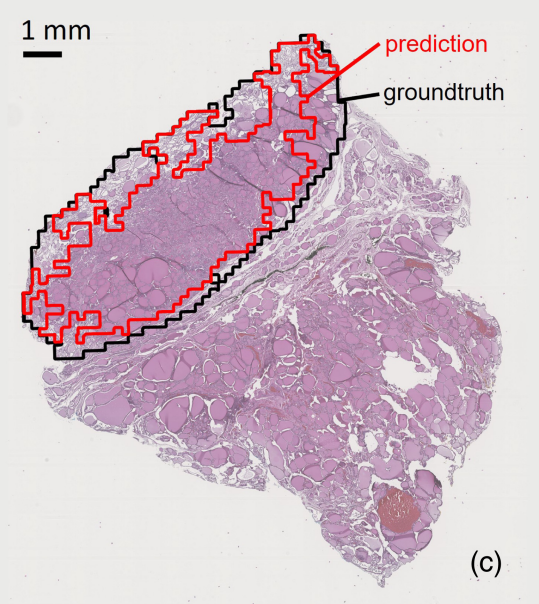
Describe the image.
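A whole section of thyroid at low magnification, pink and purple in colour, containing an elongated nodule at the upper left enclosed by drawn black and red borders. The nodule is separated from the surrounding gland by a band of pale, loose fibrous tissue. Inside it the tissue is built of follicles, some filled with pink colloid, packed more densely than in the remaining gland. The rest of the section consists of numerous rounded follicles of very varied size filled with homogeneous pink colloid, with scattered empty clefts. A large follicle near the bottom holds darker red material.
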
